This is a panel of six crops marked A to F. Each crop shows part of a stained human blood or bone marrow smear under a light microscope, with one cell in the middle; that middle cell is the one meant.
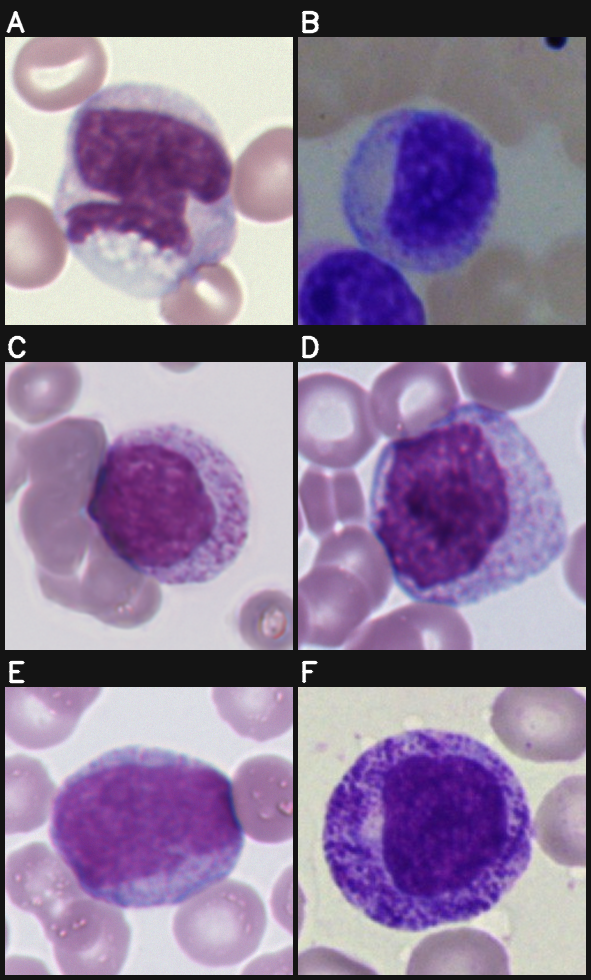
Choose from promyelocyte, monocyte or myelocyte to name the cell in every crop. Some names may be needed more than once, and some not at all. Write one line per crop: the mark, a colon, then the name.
A: monocyte
B: myelocyte
C: myelocyte
D: promyelocyte
E: promyelocyte
F: myelocyte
